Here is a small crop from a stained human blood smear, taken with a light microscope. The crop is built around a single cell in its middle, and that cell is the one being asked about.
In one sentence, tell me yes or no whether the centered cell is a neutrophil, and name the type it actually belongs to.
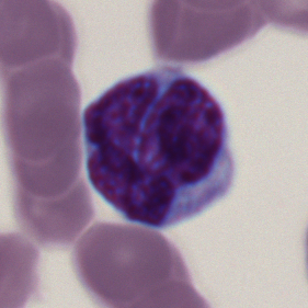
No, the middle cell is not a neutrophil, it being a monocyte.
